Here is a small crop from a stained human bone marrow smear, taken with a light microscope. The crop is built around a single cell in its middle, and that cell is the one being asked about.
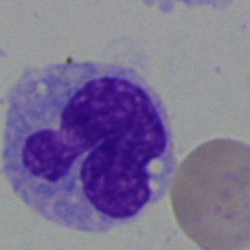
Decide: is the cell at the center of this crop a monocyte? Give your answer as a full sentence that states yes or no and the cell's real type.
Yes, the cell found at the centre of the crop is a monocyte.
